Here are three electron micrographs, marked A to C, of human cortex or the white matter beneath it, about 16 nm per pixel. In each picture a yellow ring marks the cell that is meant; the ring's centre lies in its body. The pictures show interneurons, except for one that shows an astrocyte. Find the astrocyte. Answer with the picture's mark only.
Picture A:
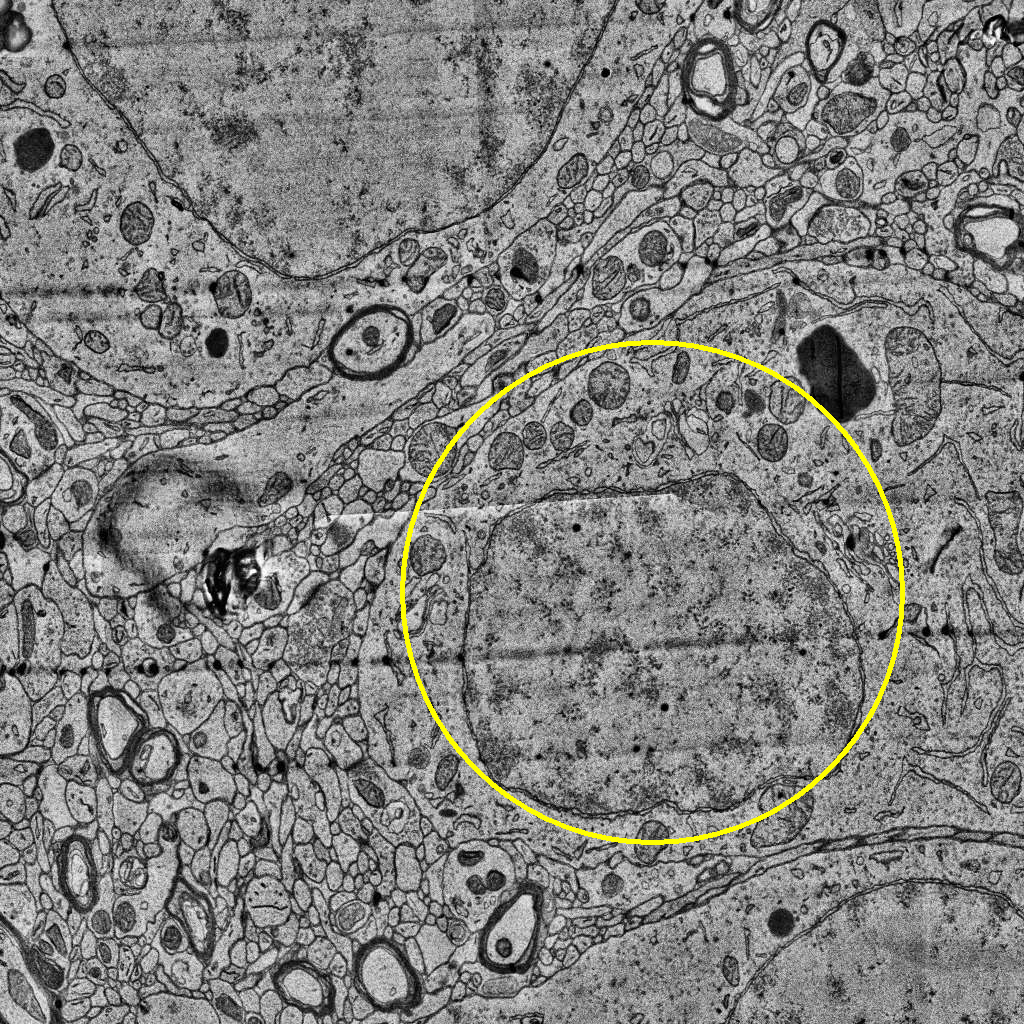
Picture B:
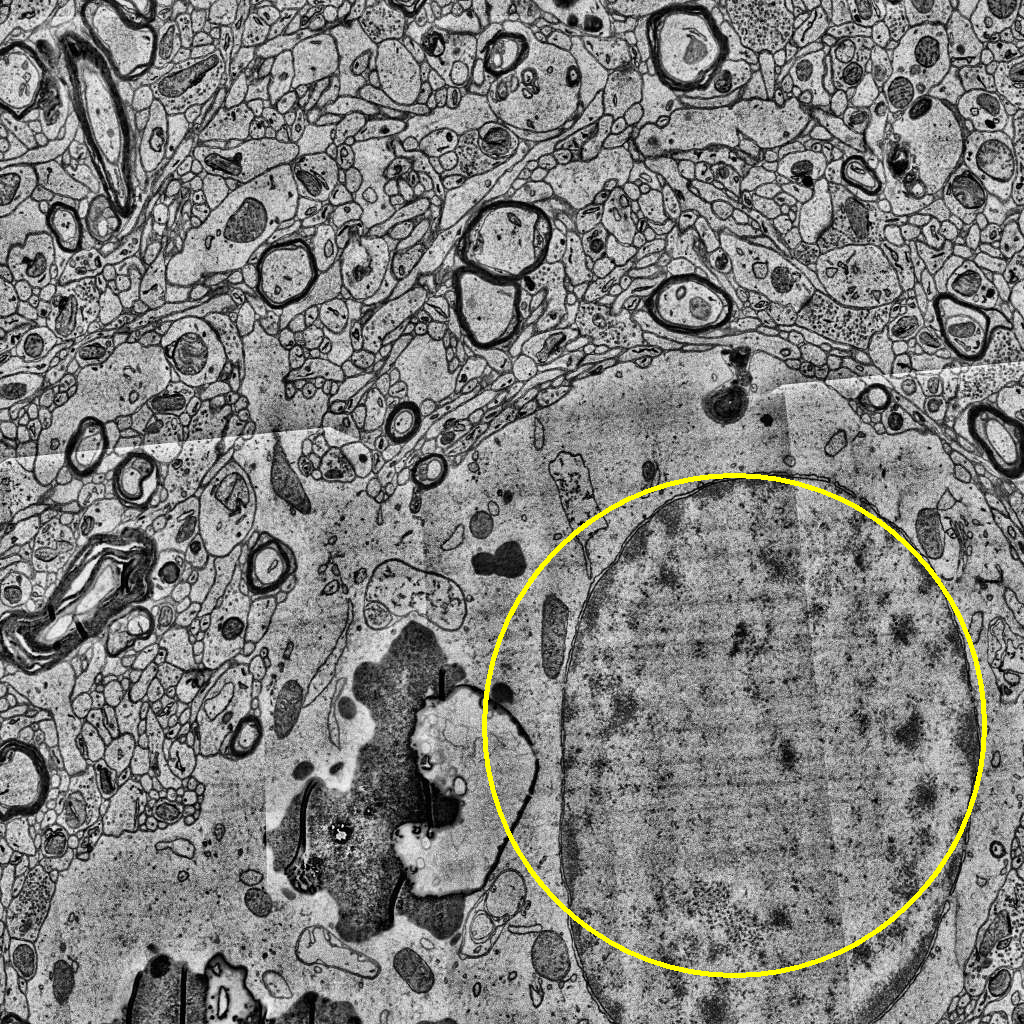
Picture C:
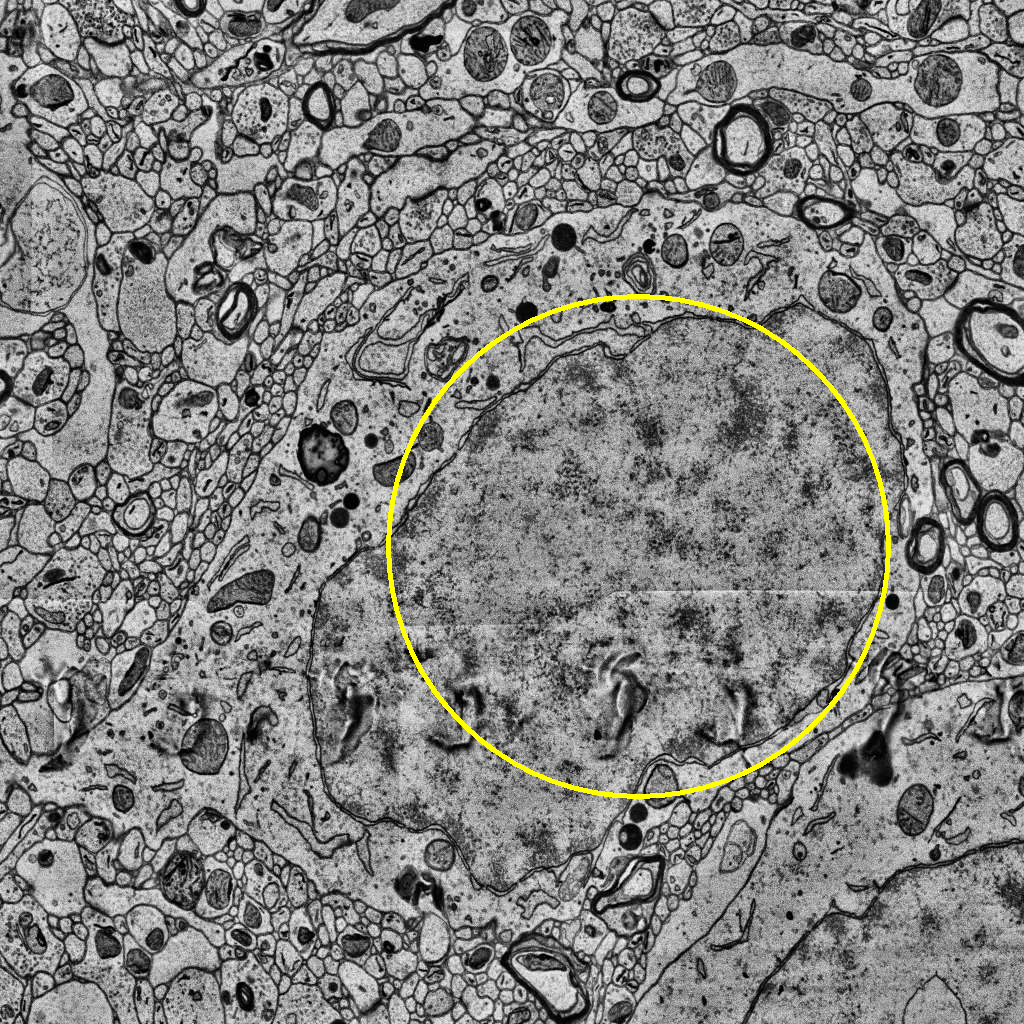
B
